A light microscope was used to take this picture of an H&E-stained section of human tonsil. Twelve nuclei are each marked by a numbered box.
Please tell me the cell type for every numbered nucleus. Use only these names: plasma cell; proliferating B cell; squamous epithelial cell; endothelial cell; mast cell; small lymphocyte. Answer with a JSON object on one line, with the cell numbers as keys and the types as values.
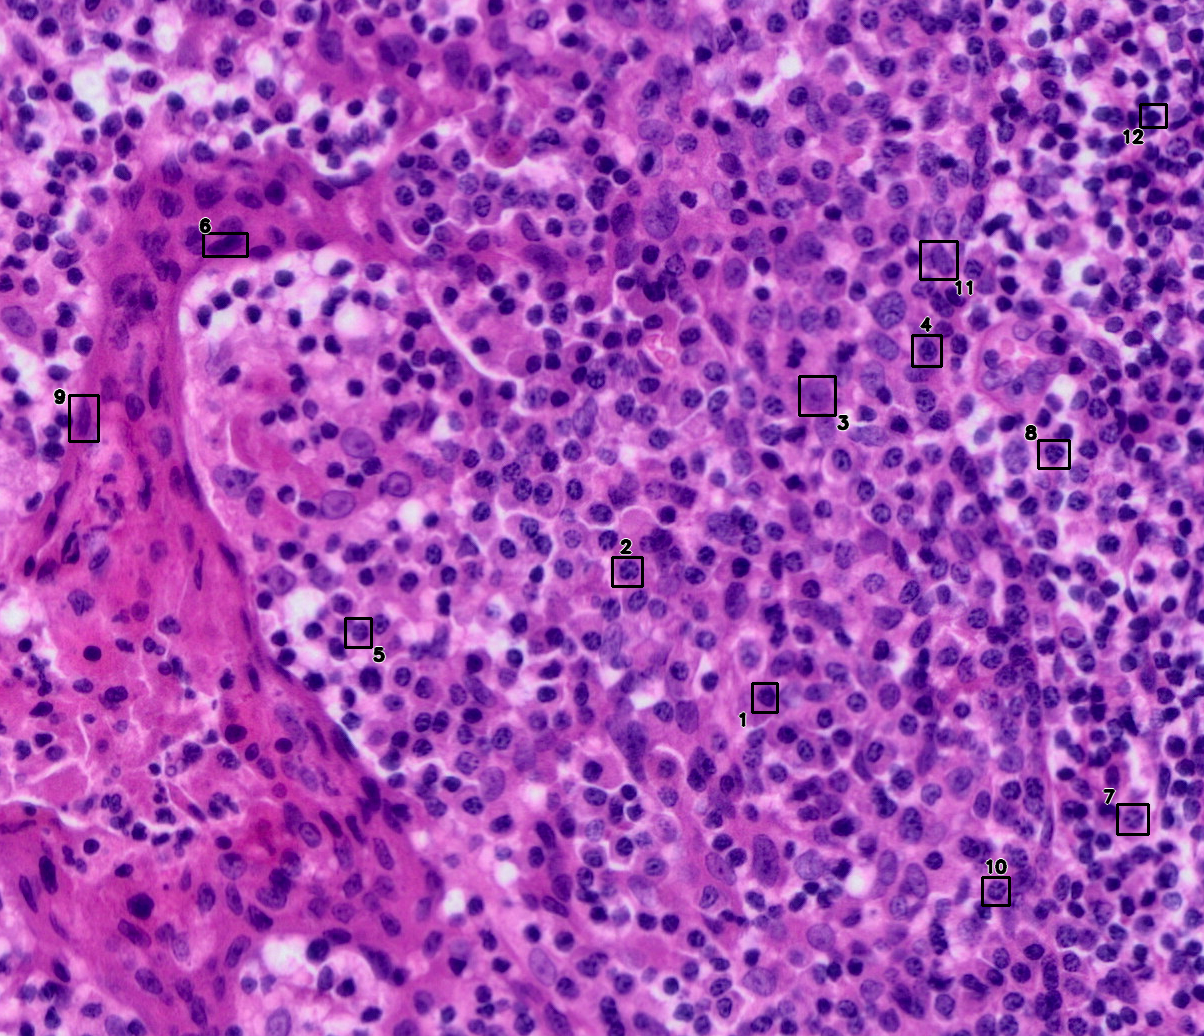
{"1": "plasma cell", "2": "plasma cell", "3": "squamous epithelial cell", "4": "plasma cell", "5": "plasma cell", "6": "squamous epithelial cell", "7": "plasma cell", "8": "plasma cell", "9": "squamous epithelial cell", "10": "plasma cell", "11": "squamous epithelial cell", "12": "small lymphocyte"}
